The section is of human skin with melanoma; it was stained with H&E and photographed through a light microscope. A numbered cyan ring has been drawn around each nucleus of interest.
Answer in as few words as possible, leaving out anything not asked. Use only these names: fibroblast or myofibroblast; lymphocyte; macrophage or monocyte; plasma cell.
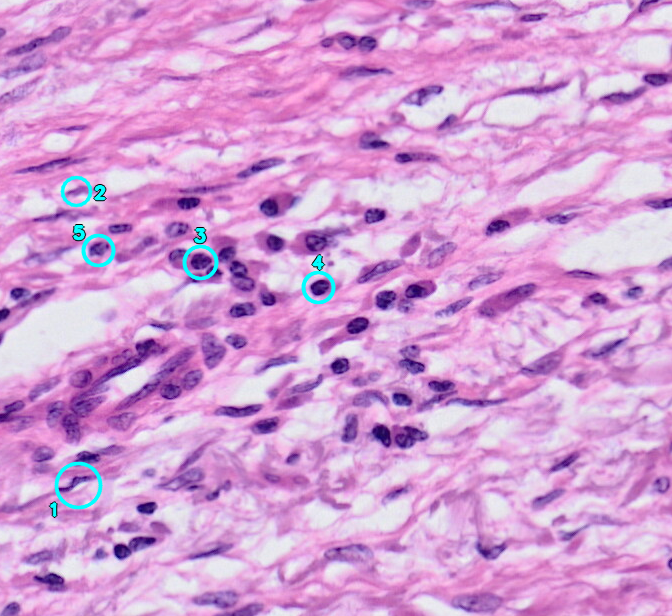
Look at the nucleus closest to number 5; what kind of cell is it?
plasma cell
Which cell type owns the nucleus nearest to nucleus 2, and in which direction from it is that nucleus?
a fibroblast or myofibroblast below and to the left of nucleus 2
